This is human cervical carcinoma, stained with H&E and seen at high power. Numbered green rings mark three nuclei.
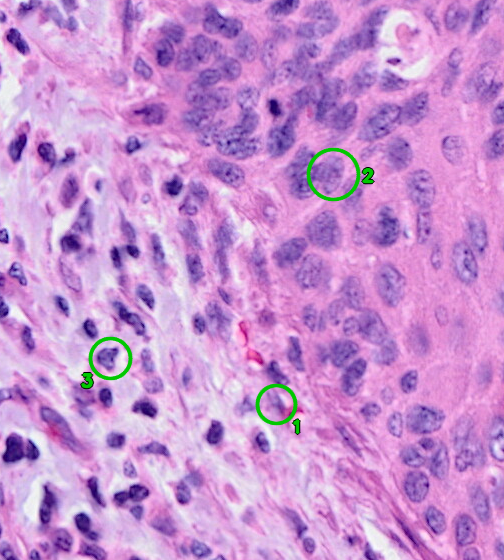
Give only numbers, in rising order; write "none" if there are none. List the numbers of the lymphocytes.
3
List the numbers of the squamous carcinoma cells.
2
